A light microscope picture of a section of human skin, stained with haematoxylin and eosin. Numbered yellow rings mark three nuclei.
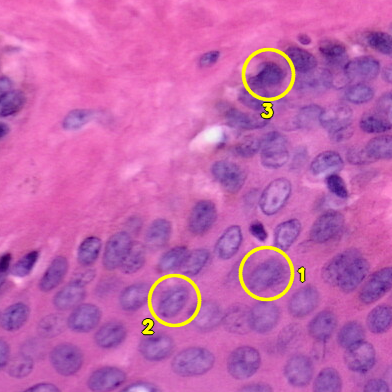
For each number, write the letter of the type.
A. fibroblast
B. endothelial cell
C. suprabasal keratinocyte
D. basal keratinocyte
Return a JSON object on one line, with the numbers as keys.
{"1": "C", "2": "C", "3": "D"}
